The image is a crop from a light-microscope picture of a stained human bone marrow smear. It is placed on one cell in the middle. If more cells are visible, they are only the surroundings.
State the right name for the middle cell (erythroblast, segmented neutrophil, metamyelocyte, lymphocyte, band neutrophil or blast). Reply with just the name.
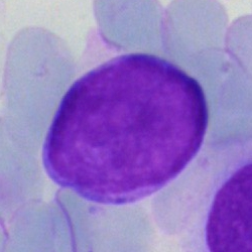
blast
